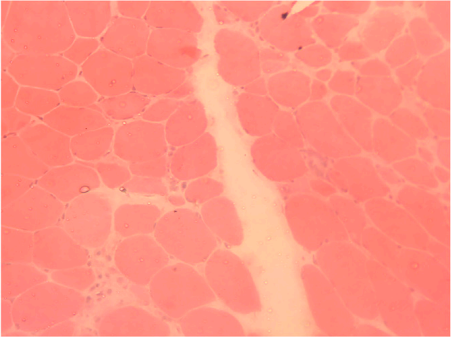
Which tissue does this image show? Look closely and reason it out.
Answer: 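Polygonal pink-staining profiles packed side by side in cross section. Small dark nuclei sit at the edges of the profiles. A pale band of connective tissue runs between groups of fibers.
Answer: muscle fibers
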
